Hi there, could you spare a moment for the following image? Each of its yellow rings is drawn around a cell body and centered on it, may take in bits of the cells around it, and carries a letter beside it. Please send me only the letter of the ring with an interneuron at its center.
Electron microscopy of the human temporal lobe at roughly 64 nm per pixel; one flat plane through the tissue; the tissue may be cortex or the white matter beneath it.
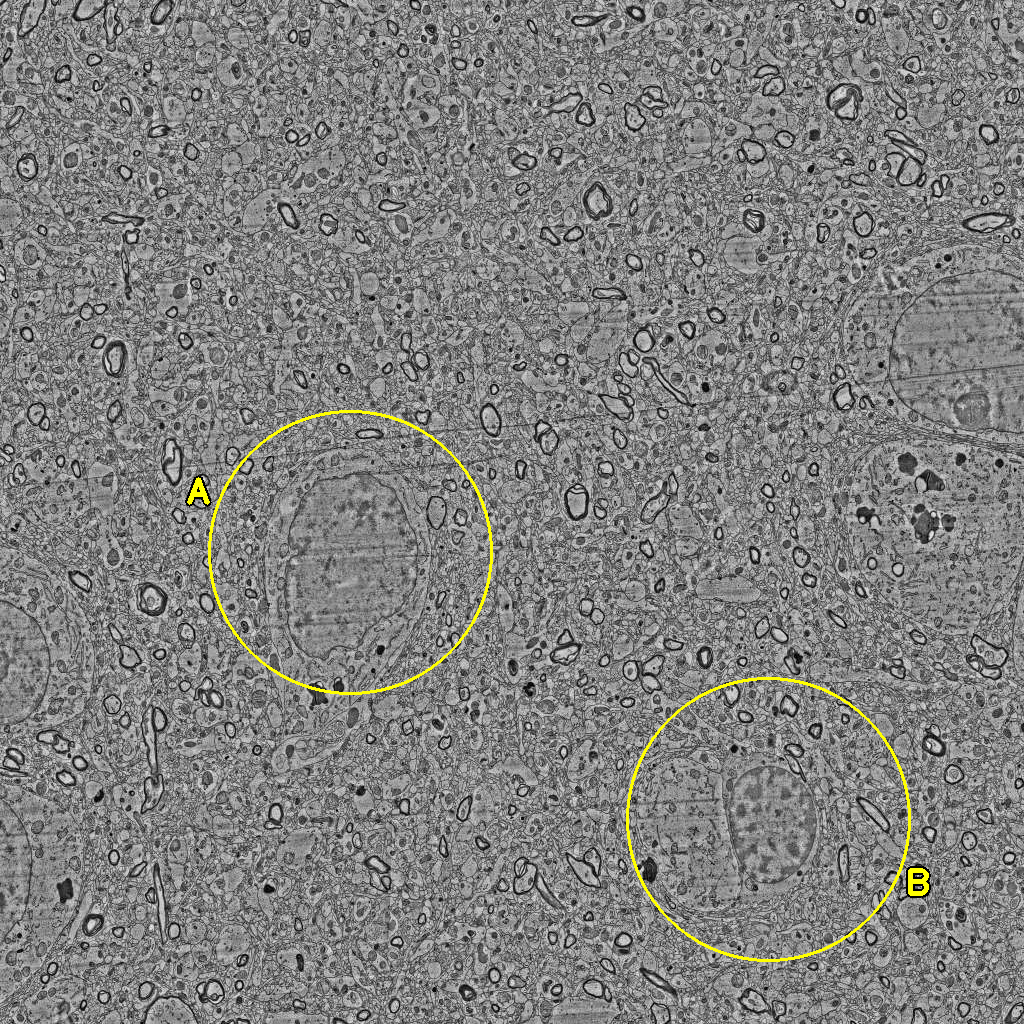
A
